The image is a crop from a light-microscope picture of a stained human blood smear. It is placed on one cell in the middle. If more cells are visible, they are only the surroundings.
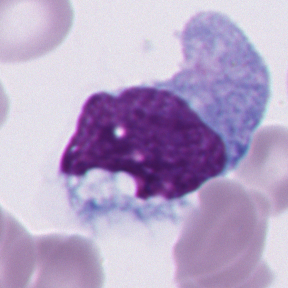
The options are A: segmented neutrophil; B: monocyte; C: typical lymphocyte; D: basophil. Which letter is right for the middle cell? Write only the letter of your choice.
B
